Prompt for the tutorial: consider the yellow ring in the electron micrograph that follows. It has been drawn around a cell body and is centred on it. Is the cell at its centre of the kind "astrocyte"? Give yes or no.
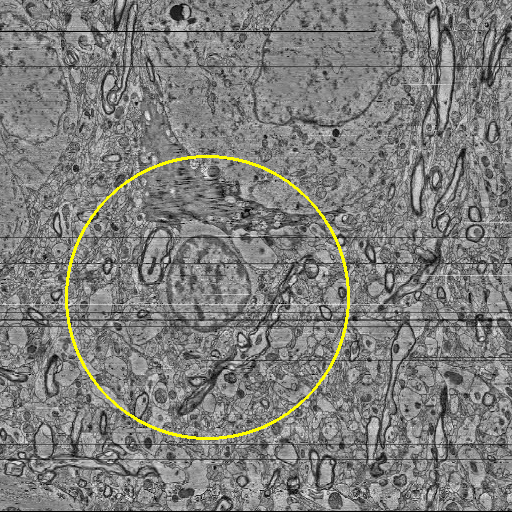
no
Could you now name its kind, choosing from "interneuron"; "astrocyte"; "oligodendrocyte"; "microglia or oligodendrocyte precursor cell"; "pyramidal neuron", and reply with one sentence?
The cell ringed in the picture is an oligodendrocyte.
